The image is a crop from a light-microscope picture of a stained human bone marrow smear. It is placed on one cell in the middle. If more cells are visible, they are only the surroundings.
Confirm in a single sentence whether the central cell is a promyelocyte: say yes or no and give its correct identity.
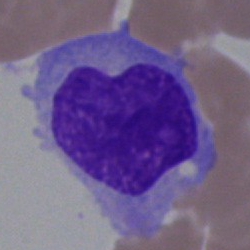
No, the label for the central cell is a monocyte, not a promyelocyte.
